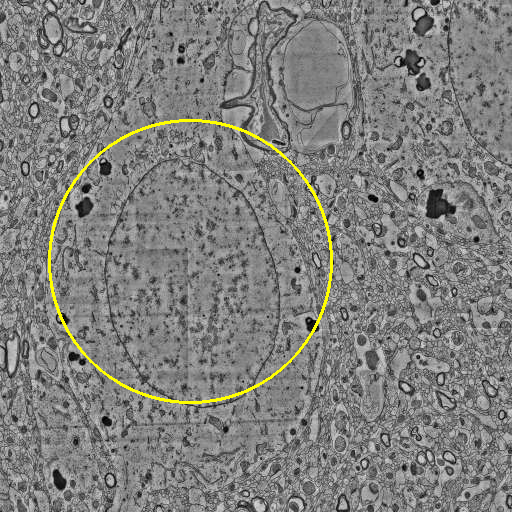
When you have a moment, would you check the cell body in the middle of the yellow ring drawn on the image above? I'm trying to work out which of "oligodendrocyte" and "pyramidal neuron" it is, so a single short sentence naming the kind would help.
This cell body belongs to a pyramidal neuron.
